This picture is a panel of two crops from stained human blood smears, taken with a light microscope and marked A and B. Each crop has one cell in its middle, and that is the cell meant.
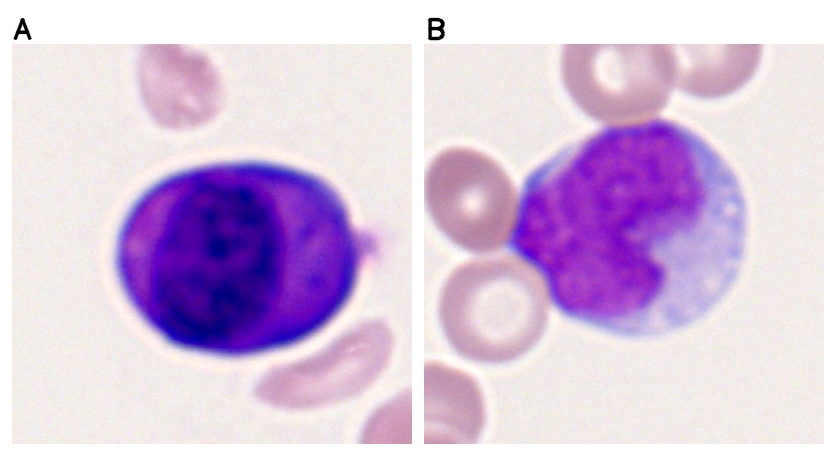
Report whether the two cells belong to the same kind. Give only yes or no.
yes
